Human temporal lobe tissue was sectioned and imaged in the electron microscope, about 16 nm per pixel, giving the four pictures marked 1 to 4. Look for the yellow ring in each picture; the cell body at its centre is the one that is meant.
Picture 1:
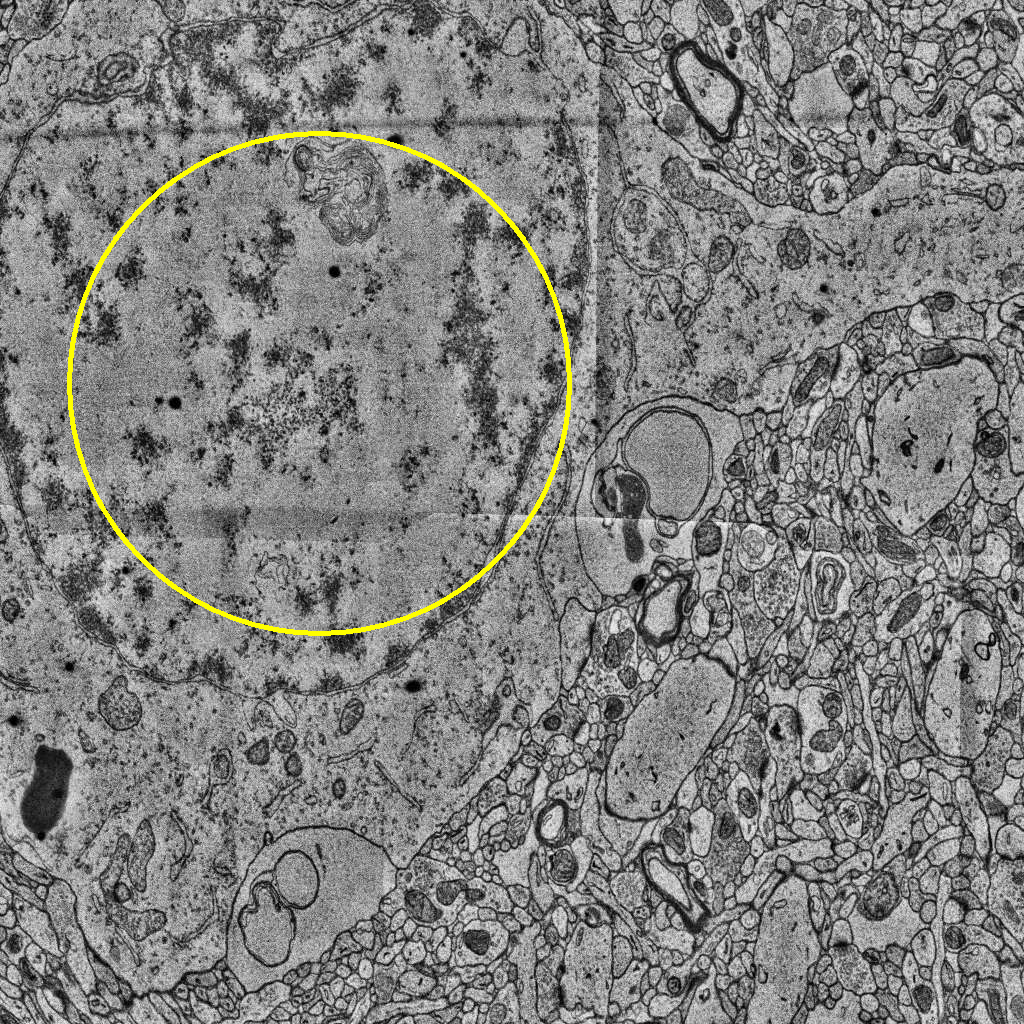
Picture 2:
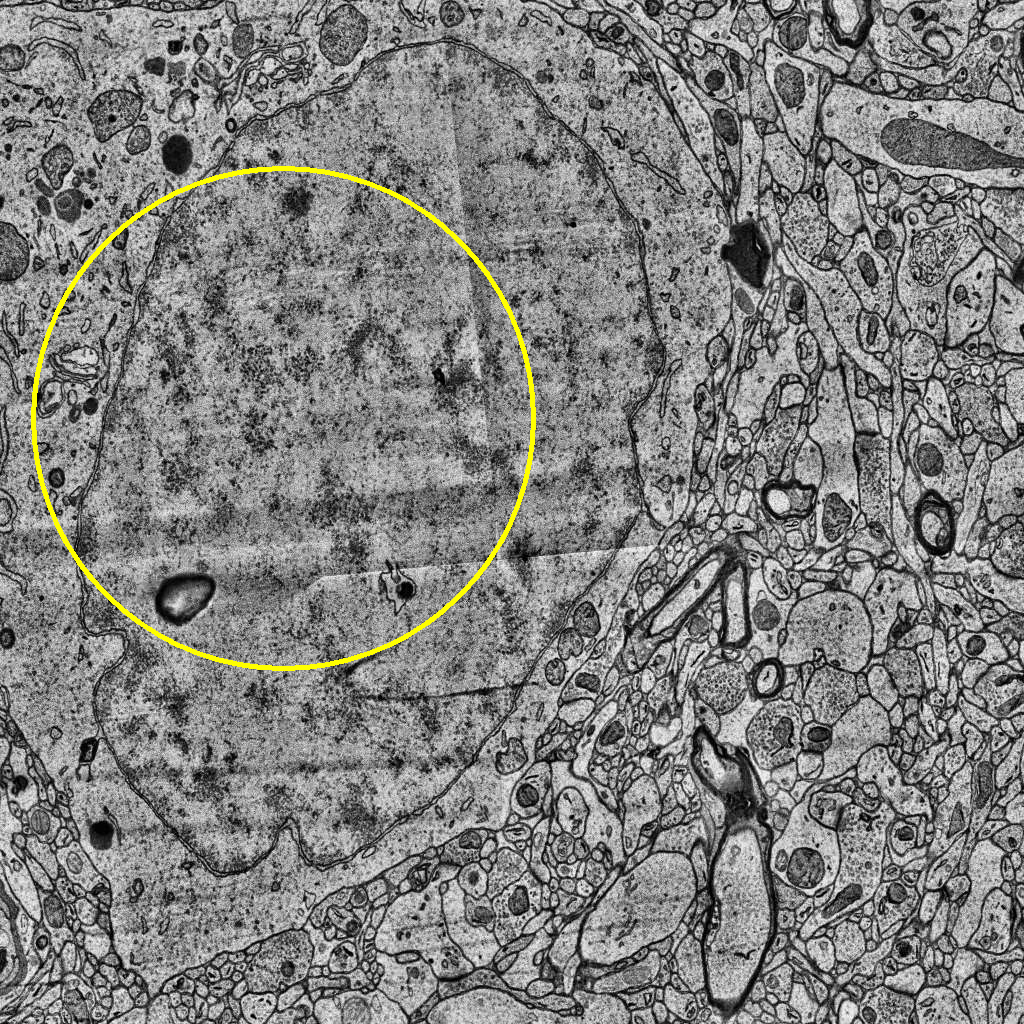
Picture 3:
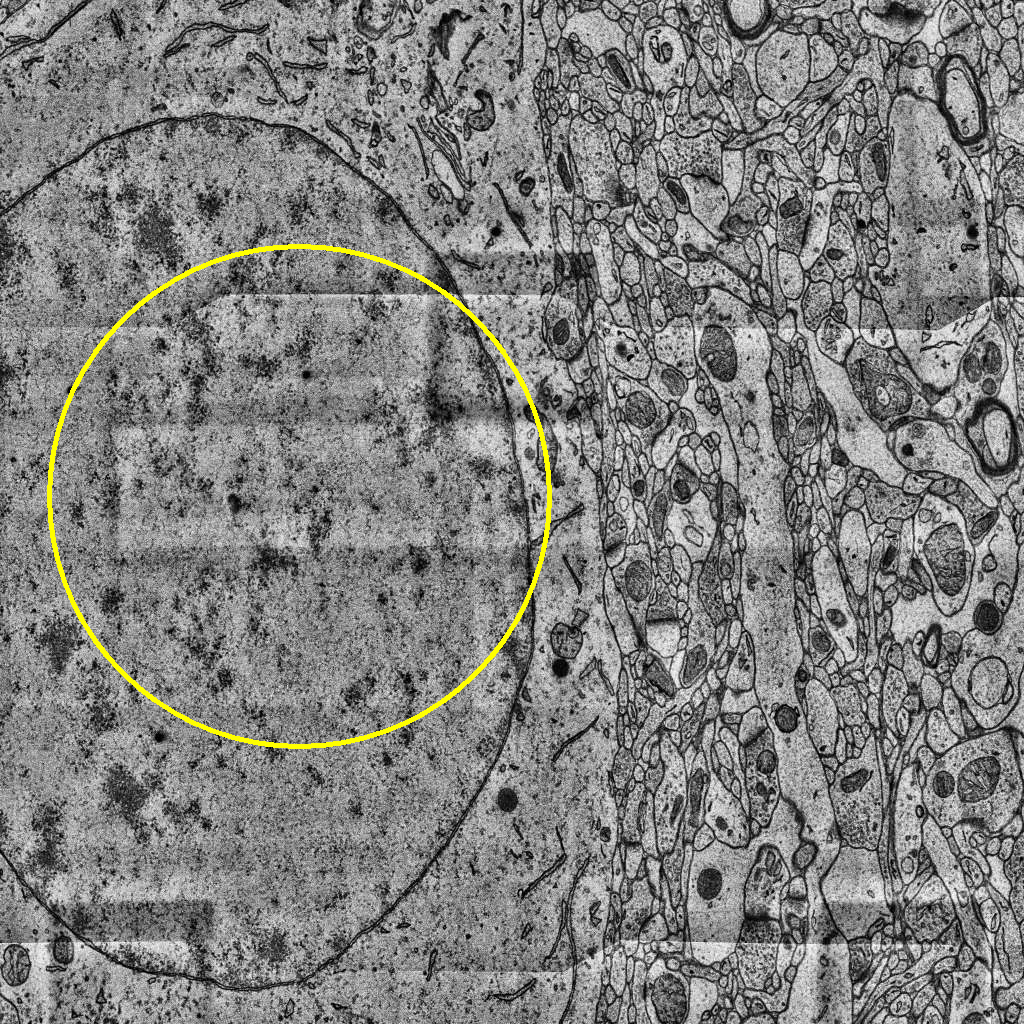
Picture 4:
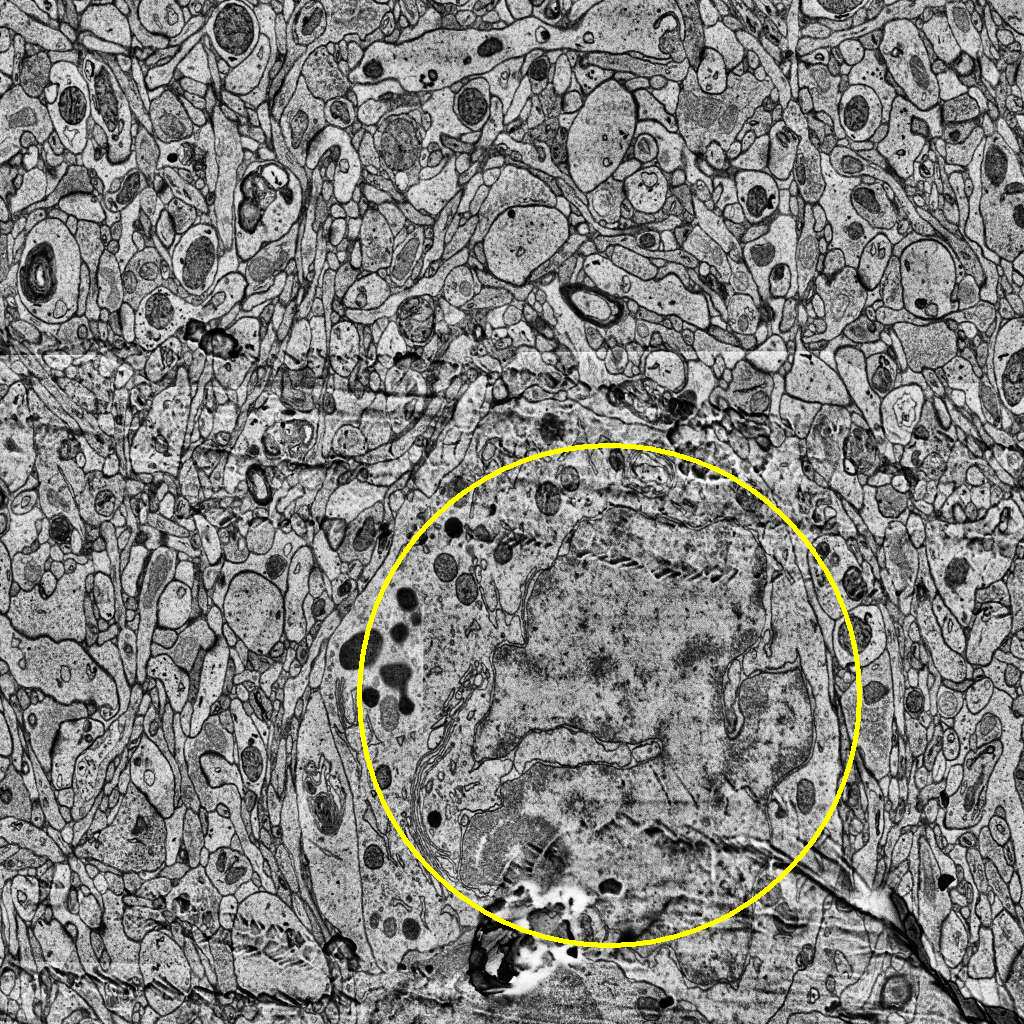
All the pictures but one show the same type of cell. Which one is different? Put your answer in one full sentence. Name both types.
Picture 3 is the odd one out: it shows a pyramidal neuron, while the others show interneurons.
